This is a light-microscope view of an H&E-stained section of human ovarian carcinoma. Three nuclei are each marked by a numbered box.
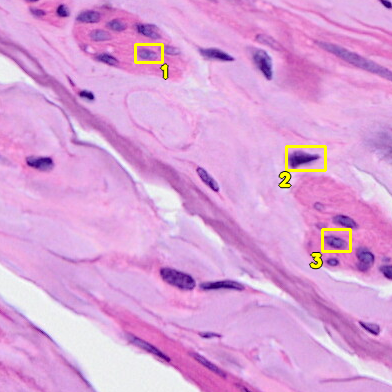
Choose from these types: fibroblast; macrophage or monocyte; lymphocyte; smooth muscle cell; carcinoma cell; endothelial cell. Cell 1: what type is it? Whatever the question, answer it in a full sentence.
The cell that is numbered 1 is a smooth muscle cell.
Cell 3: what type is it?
The one labeled 3 is a smooth muscle cell, to put it simply.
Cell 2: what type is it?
The cell referenced by the number 2 is a fibroblast in this field.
